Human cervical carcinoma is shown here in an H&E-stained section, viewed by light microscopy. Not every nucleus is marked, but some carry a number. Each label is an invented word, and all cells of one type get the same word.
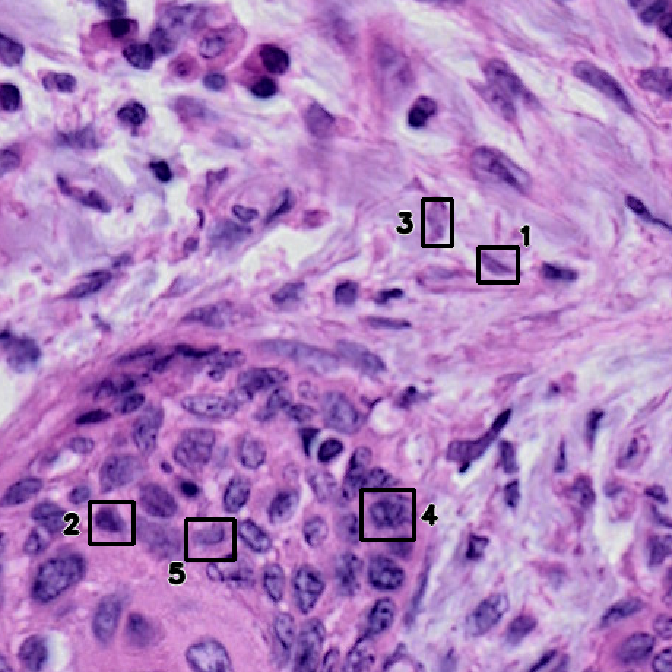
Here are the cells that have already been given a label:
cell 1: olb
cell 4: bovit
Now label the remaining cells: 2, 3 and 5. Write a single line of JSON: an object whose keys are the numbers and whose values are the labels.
{"2": "bovit", "3": "olb", "5": "bovit"}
